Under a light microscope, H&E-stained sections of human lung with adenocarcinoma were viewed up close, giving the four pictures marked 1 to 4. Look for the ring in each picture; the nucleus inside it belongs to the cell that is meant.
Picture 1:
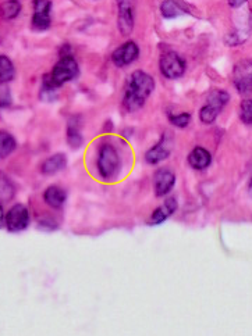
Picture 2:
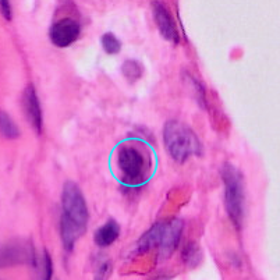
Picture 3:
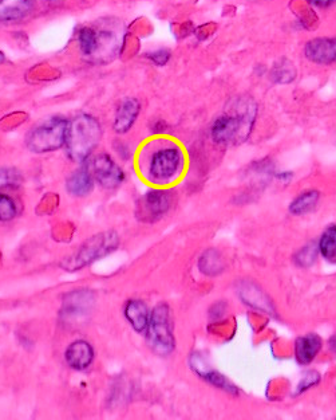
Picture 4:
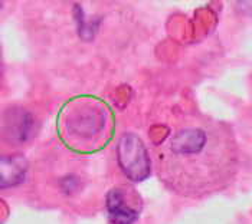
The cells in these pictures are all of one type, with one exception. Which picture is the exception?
4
